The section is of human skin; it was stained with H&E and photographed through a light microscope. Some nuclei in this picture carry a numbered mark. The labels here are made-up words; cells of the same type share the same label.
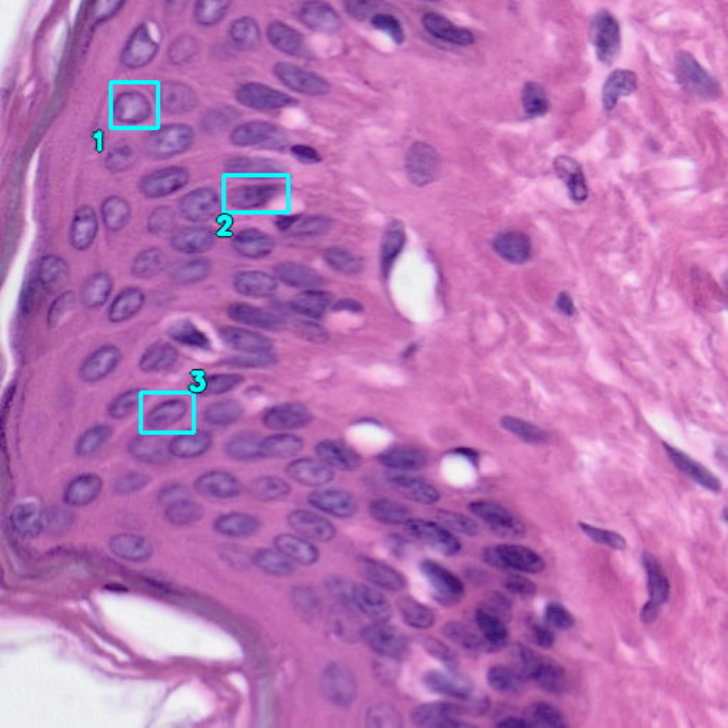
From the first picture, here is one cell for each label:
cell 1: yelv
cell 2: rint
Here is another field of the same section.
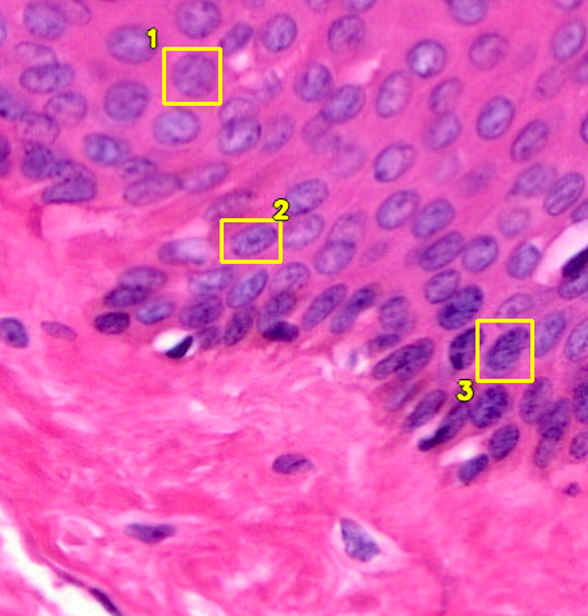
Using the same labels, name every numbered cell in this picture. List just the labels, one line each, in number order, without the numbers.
yelv
yelv
rint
